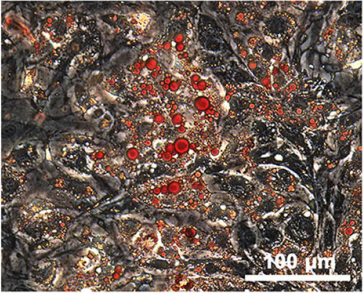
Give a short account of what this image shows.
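A layer of cultured cells, many of them spread and elongated with greyish cytoplasm, is crowded with round red-stained globules. The globules vary from tiny dots to larger drops and gather in clusters within the cell bodies, often several per cell. Between the stained areas lie darker, fibrous-looking regions of cells without red drops.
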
